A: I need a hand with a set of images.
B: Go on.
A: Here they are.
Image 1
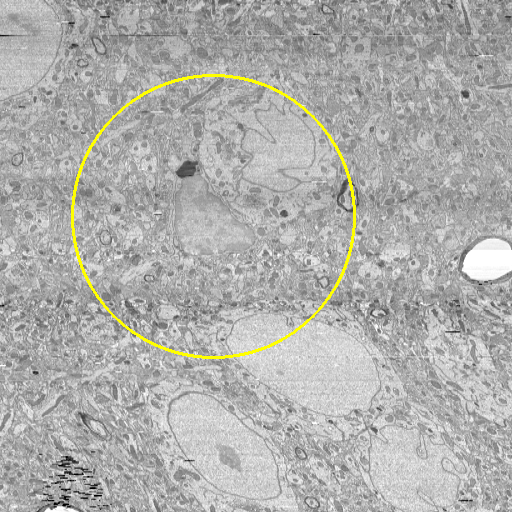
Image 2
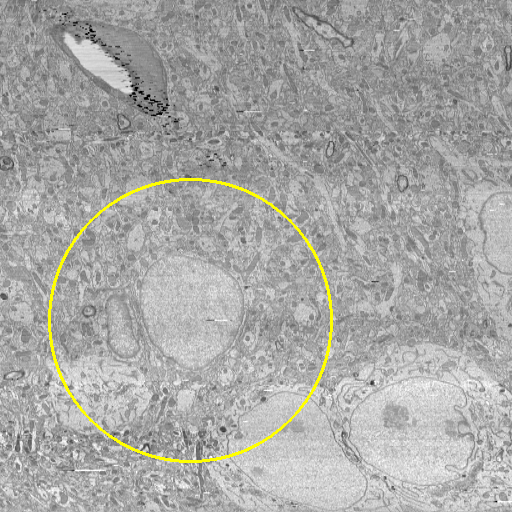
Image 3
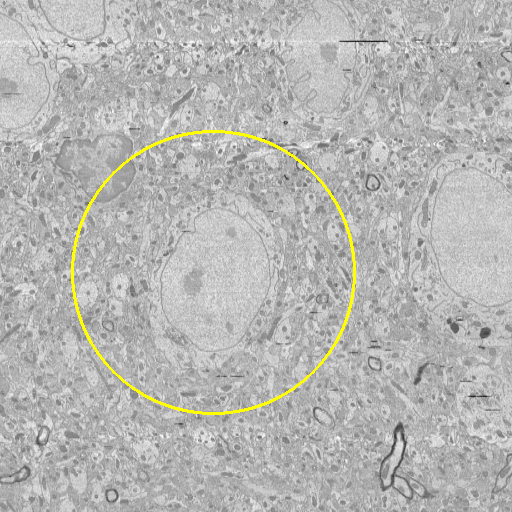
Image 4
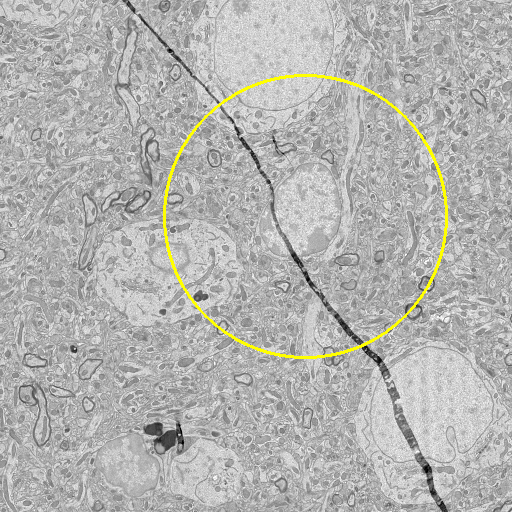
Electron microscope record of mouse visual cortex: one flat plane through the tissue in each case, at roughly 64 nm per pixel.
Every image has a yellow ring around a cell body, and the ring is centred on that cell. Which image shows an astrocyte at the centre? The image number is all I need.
2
